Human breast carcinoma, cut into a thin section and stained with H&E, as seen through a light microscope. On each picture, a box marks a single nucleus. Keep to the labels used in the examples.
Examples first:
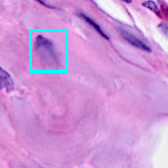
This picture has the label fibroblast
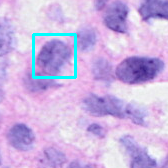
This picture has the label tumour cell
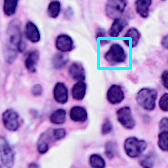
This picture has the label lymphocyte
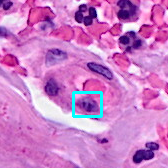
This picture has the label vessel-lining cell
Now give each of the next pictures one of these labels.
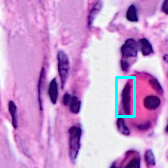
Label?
vessel-lining cell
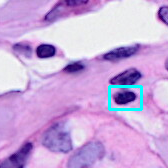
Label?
lymphocyte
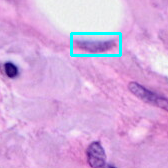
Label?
fibroblast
